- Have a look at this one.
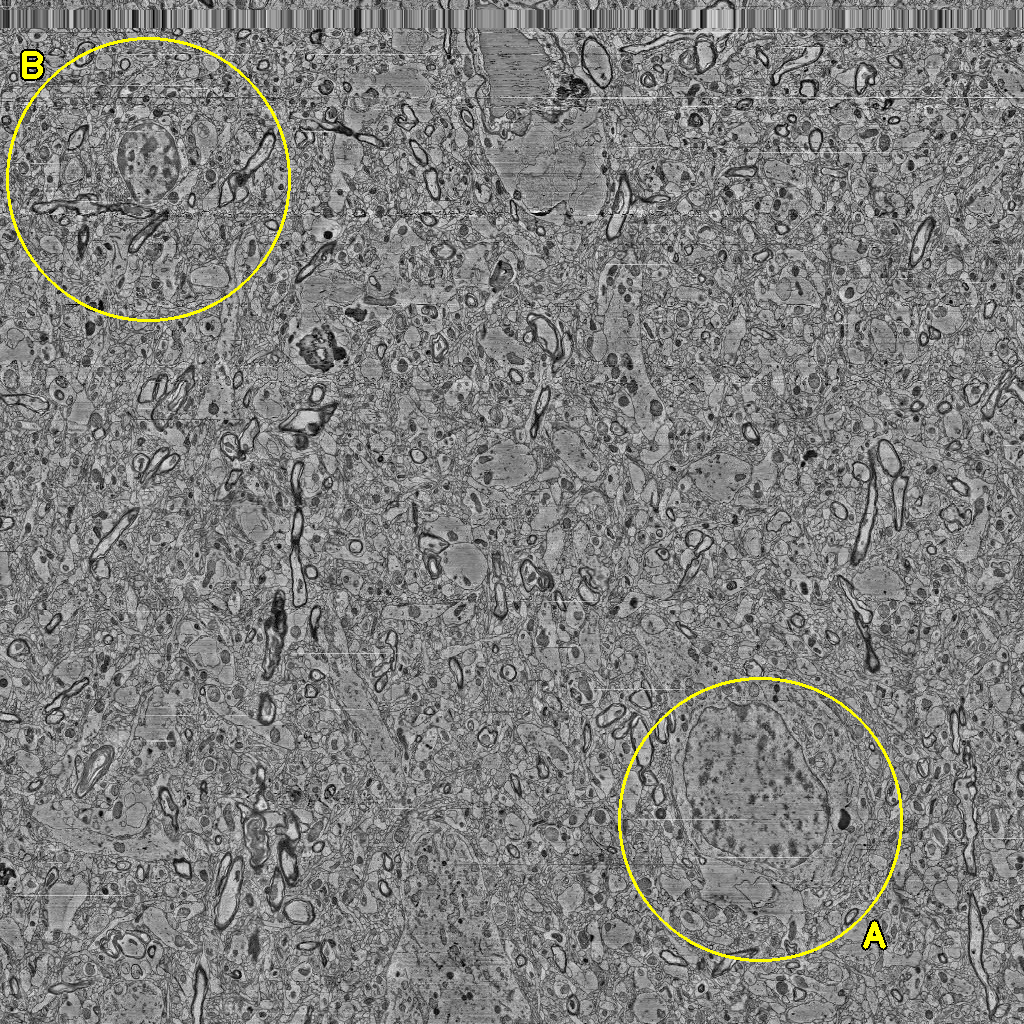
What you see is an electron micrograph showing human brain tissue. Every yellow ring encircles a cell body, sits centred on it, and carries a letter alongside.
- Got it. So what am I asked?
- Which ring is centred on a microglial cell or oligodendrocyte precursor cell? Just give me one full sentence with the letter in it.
The cell asked for sits in the centre of the ring lettered B.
